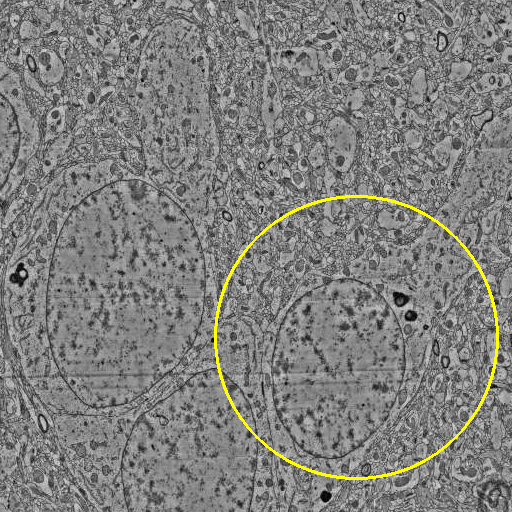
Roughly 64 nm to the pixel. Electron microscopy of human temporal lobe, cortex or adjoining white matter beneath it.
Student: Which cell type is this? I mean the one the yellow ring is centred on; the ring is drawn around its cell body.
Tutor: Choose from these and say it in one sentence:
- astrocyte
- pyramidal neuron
The cell the ring is centred on is a pyramidal neuron.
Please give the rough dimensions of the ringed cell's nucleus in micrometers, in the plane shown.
In this plane, the nucleus is roughly 12 by 9 micrometres.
